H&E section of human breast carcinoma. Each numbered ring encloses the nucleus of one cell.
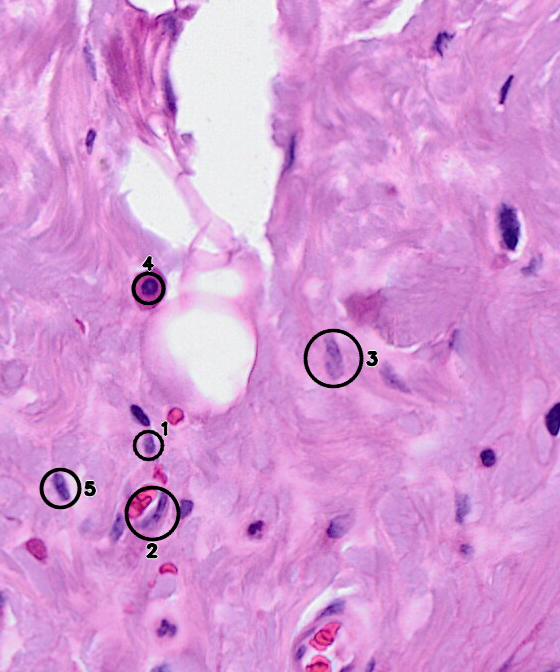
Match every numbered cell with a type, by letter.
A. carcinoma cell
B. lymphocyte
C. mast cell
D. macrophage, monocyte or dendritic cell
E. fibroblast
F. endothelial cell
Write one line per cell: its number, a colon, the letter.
1: E
2: F
3: E
4: C
5: E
